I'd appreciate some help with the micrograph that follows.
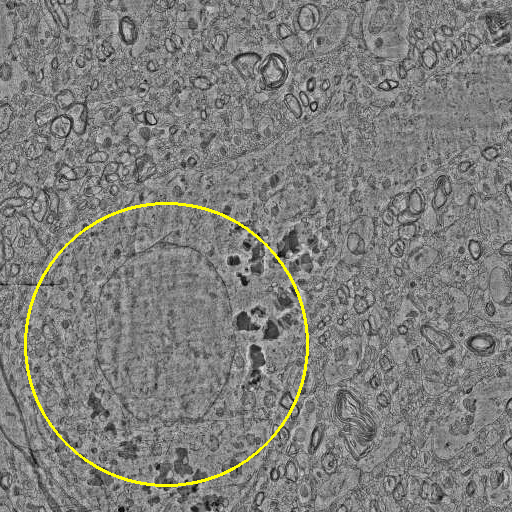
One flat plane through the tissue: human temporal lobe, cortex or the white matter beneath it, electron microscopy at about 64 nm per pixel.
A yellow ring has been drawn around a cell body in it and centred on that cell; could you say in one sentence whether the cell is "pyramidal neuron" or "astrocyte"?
It is a pyramidal neuron at the centre of the ring.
